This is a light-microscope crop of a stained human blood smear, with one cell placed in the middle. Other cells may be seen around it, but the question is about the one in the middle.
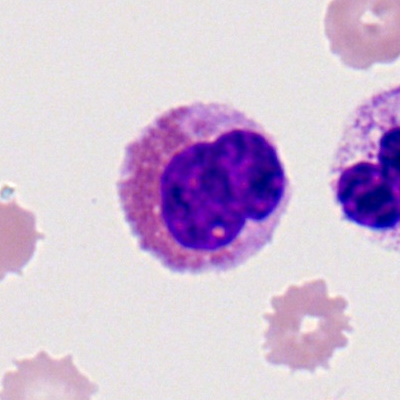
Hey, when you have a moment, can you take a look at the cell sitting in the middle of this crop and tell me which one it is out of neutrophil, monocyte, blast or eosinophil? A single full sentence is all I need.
In this smear crop, the middle cell is an eosinophil.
